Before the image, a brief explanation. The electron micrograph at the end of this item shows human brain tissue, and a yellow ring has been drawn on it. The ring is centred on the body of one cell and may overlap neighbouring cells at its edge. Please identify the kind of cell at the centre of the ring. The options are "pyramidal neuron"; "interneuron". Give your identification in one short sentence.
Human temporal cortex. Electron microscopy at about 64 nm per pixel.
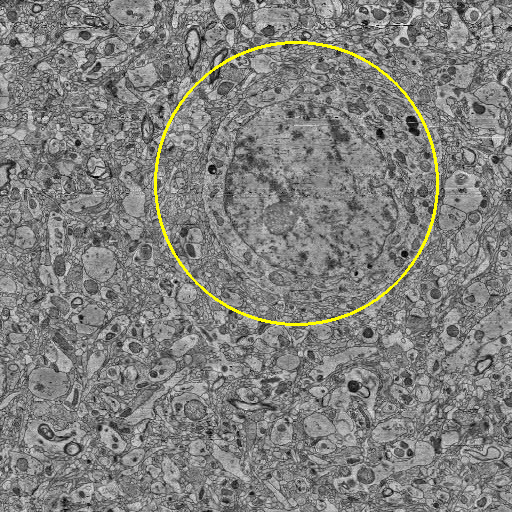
The ring has been placed around an interneuron.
